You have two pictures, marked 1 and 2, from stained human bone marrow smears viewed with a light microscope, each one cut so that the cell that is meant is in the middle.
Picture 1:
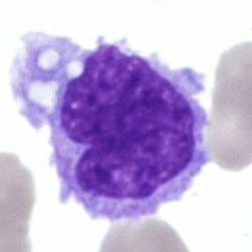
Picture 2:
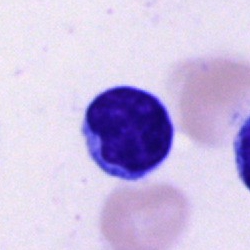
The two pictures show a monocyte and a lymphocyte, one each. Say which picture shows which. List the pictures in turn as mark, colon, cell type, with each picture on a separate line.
1: monocyte
2: lymphocyte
